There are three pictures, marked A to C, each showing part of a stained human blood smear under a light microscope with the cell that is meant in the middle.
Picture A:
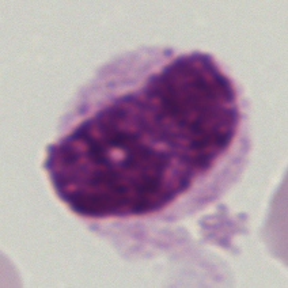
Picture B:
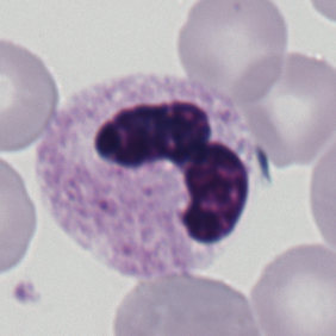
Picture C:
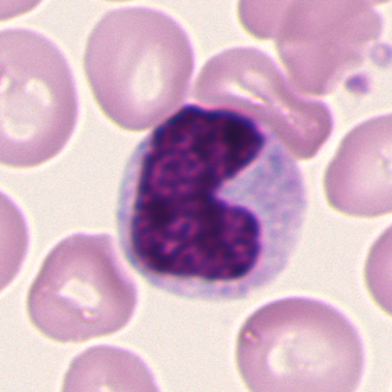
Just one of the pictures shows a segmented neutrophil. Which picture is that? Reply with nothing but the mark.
B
